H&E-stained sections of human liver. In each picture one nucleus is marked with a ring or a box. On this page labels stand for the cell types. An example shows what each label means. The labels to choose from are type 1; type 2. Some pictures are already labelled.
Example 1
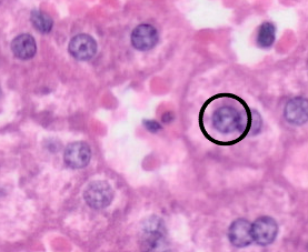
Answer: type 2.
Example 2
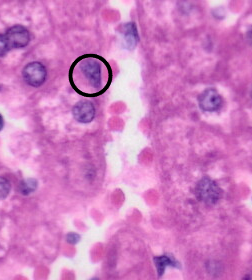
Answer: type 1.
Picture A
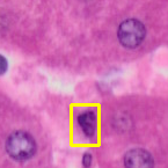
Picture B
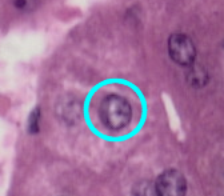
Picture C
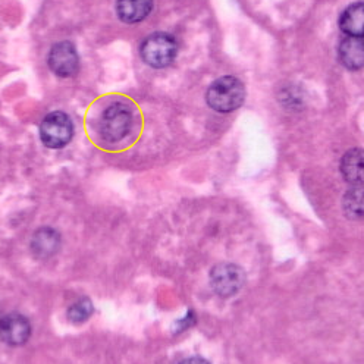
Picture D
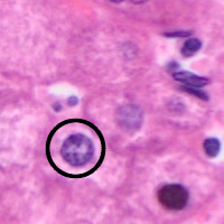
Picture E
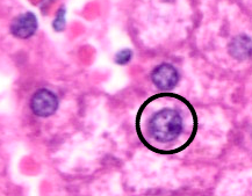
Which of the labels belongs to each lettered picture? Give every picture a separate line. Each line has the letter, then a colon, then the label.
A: type 1.
B: type 2.
C: type 2.
D: type 2.
E: type 2.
